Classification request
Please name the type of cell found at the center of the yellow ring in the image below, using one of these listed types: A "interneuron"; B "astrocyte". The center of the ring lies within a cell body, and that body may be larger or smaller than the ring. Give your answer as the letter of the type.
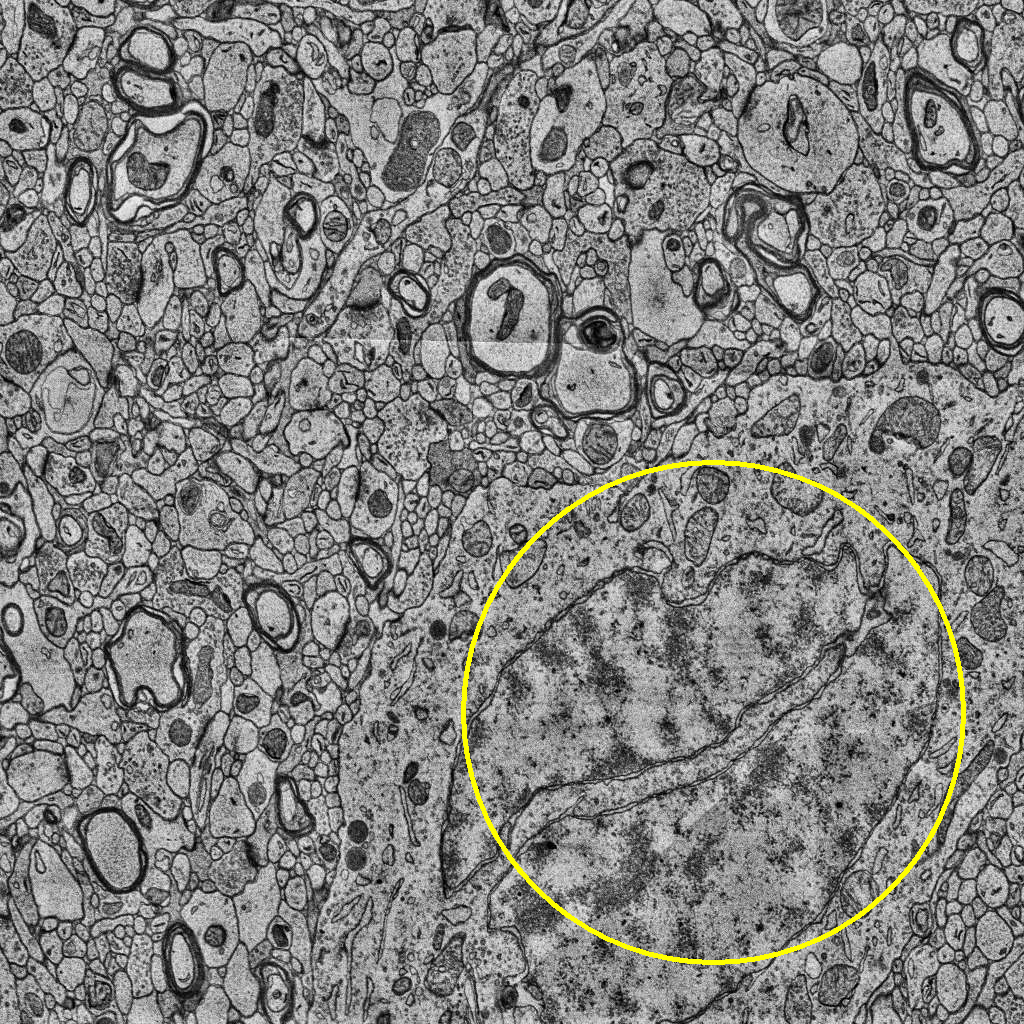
A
